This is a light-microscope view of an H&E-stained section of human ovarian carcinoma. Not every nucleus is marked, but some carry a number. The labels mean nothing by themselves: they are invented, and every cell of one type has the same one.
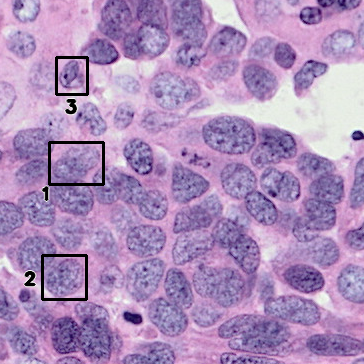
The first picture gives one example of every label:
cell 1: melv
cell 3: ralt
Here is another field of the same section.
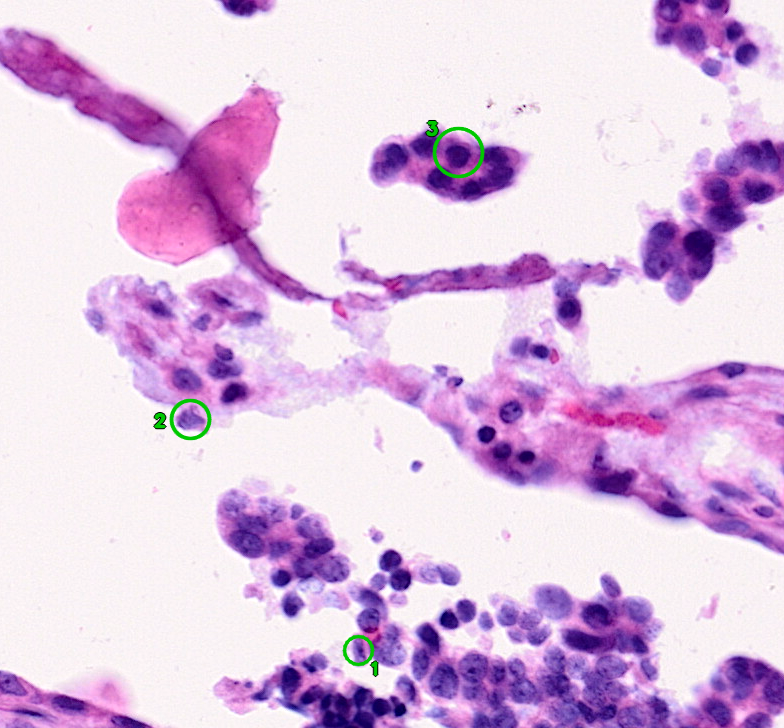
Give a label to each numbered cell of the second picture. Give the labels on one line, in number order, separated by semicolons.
ralt; ralt; melv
